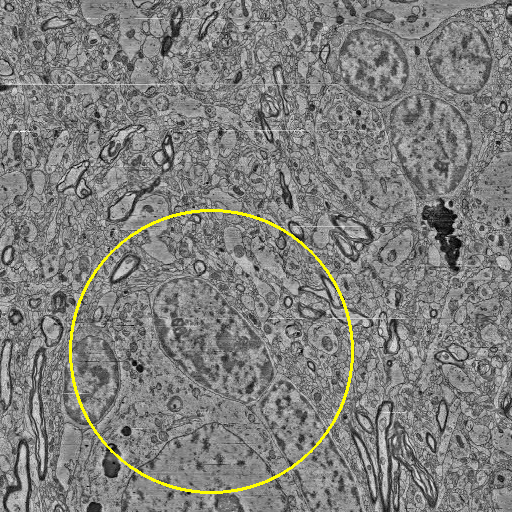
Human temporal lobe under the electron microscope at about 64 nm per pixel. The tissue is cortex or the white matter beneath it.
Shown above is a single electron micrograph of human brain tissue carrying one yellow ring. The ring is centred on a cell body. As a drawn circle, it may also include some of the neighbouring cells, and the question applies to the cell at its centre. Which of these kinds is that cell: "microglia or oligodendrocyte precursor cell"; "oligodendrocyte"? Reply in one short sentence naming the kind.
The cell marked by the ring is a microglial cell or oligodendrocyte precursor cell.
